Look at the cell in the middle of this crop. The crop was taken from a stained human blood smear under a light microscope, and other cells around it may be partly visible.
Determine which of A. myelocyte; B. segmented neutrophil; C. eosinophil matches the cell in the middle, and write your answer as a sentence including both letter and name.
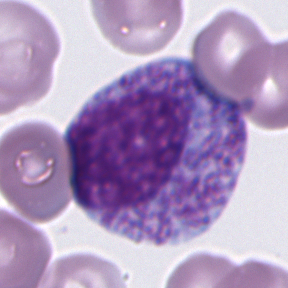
Option A is correct here, and the cell in the middle is a myelocyte.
